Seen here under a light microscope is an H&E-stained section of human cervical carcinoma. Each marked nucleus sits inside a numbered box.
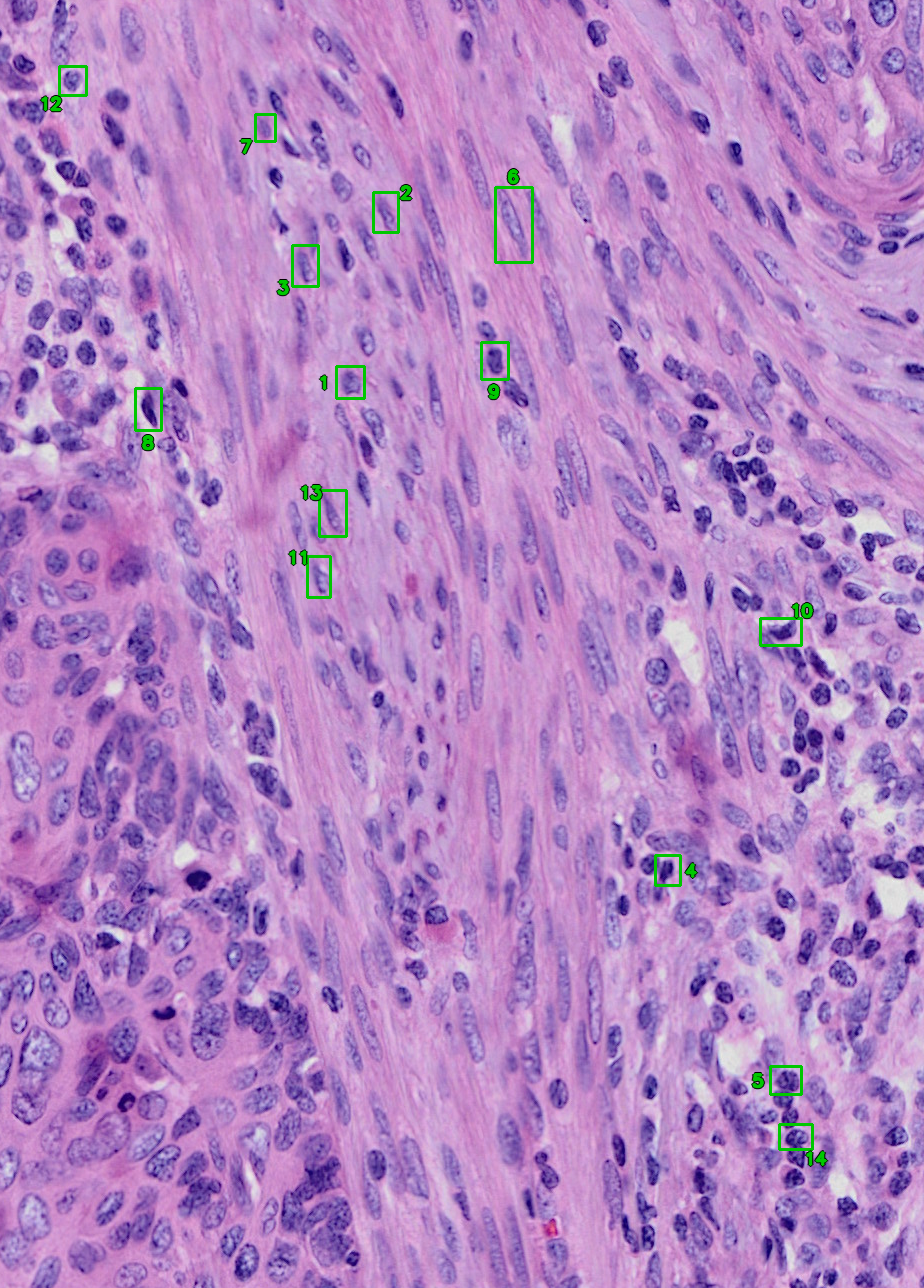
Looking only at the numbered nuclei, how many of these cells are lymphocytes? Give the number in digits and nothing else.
7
